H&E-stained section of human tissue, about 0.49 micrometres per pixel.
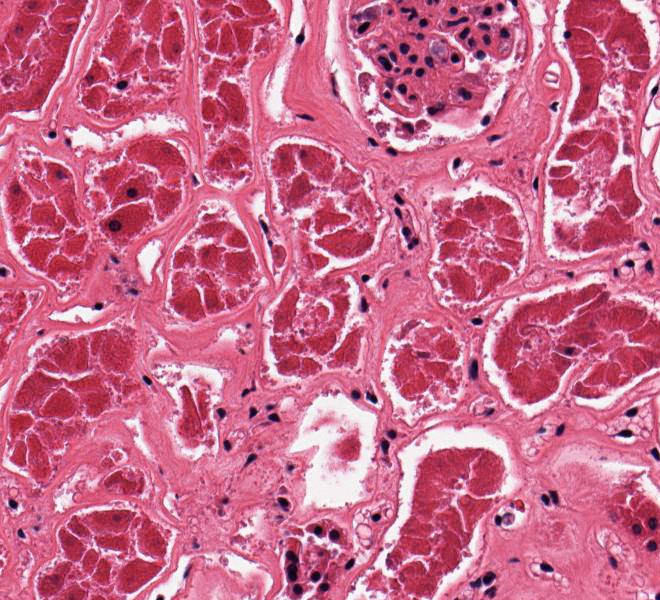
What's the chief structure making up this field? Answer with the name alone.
cortical labyrinth of the kidney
